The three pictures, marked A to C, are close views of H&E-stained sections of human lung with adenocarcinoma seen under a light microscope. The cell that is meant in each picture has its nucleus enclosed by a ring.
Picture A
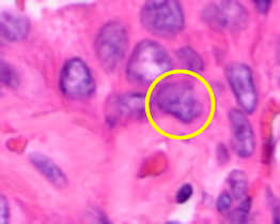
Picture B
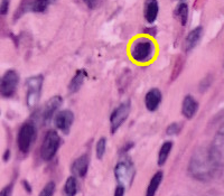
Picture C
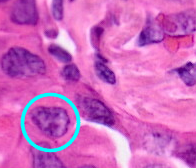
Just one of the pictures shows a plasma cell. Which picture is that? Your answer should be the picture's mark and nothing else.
B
